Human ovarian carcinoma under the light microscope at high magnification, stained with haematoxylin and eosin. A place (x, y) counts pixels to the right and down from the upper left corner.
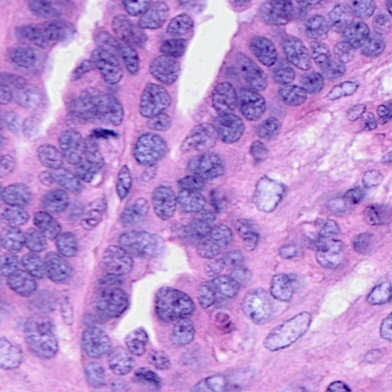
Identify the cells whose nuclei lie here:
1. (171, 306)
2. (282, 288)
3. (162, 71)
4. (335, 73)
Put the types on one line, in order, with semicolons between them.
carcinoma cell; fibroblast; carcinoma cell; carcinoma cell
